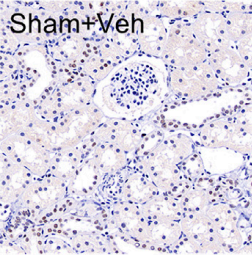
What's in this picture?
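This section of kidney shows a rounded glomerulus surrounded by closely packed tubules lined by cuboidal epithelial cells with pale cytoplasm. Most nuclei are blue from the counterstain, and only scattered nuclei are stained brown. The tubules have narrow lumens and the tissue between them is sparse.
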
